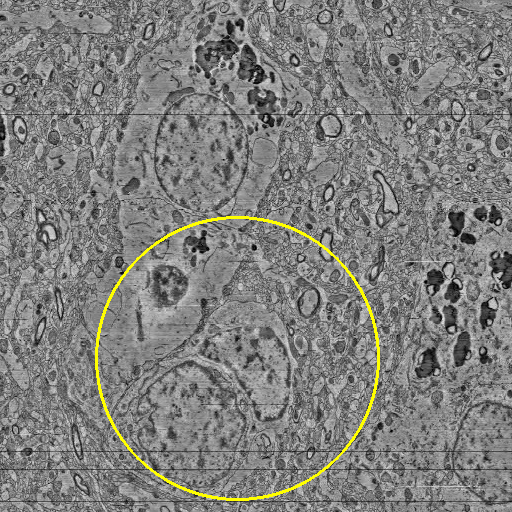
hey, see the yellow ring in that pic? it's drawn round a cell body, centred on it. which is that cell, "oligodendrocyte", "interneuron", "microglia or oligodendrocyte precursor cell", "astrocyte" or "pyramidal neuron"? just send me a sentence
The cell in the ring is a microglial cell or oligodendrocyte precursor cell.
